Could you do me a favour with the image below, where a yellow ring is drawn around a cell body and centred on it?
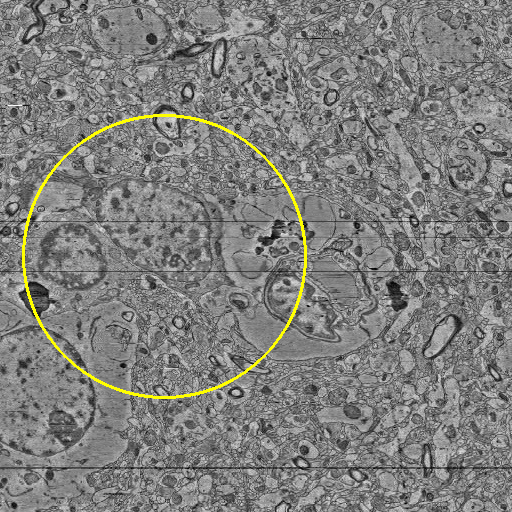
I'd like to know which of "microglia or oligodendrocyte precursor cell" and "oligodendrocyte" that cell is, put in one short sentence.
The cell at the ring's centre is an oligodendrocyte.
